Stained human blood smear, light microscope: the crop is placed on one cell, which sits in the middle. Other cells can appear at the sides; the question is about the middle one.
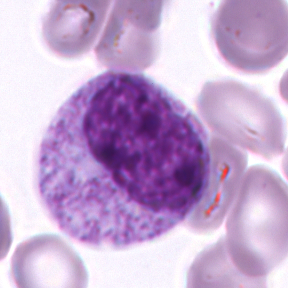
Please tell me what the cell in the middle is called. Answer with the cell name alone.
metamyelocyte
